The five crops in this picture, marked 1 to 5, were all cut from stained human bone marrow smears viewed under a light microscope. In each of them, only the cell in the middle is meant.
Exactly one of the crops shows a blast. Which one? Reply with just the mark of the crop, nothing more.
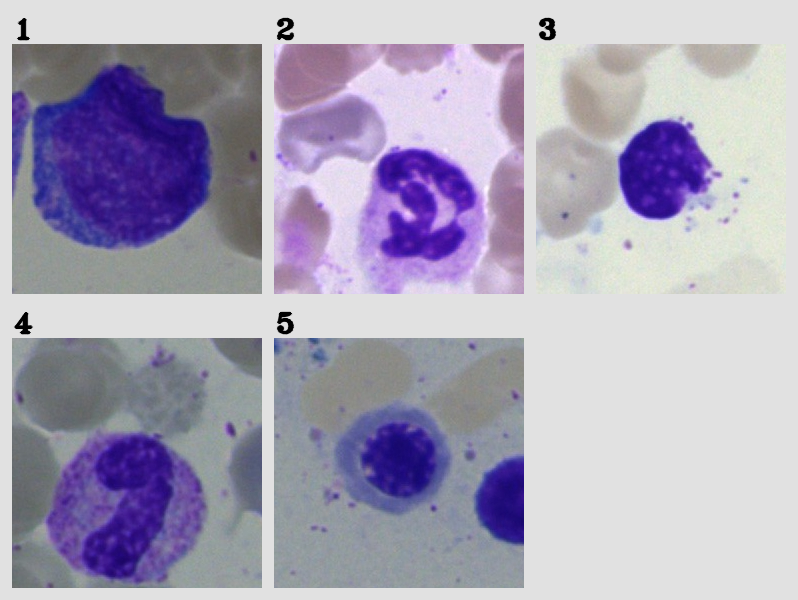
1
